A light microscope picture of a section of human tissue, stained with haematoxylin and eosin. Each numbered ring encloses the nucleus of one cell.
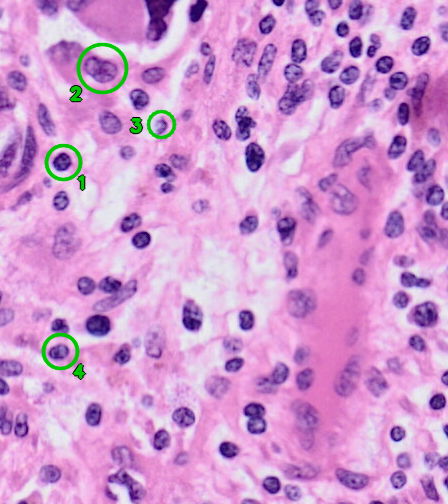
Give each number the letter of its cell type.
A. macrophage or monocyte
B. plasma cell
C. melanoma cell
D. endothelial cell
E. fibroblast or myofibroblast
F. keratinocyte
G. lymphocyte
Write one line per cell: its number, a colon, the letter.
1: G
2: C
3: G
4: G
